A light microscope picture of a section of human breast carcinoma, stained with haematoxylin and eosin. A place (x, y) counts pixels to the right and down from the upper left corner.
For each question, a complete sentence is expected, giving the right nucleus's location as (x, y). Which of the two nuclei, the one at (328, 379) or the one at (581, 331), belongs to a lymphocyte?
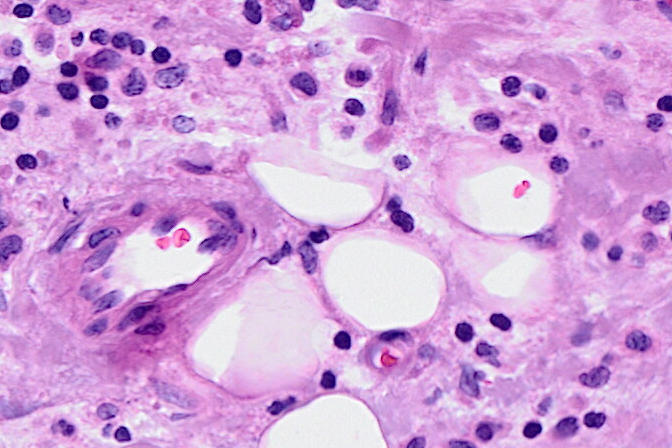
The nucleus that sits at (328, 379) is the nucleus of a lymphocyte.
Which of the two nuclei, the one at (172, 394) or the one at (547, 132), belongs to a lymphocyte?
The nucleus at (547, 132) is housed in a lymphocyte.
